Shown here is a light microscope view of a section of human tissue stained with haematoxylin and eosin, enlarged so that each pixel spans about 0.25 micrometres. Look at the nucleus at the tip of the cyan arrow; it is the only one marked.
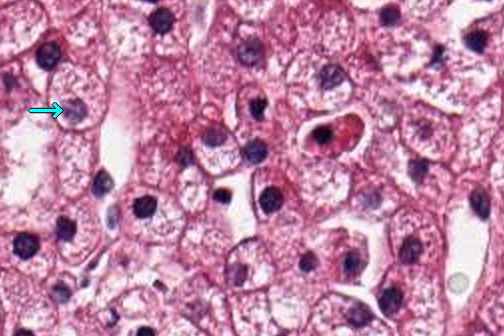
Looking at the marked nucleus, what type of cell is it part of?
adrenal cortical cell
